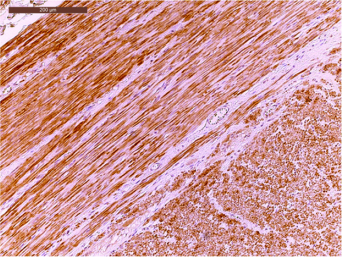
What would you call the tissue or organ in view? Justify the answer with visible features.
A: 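Long parallel spindle-shaped cells in bundles. Elongated nuclei aligned with the fibers. Bundles are separated by thin paler septa.
Conclusion: smooth muscle tissue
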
